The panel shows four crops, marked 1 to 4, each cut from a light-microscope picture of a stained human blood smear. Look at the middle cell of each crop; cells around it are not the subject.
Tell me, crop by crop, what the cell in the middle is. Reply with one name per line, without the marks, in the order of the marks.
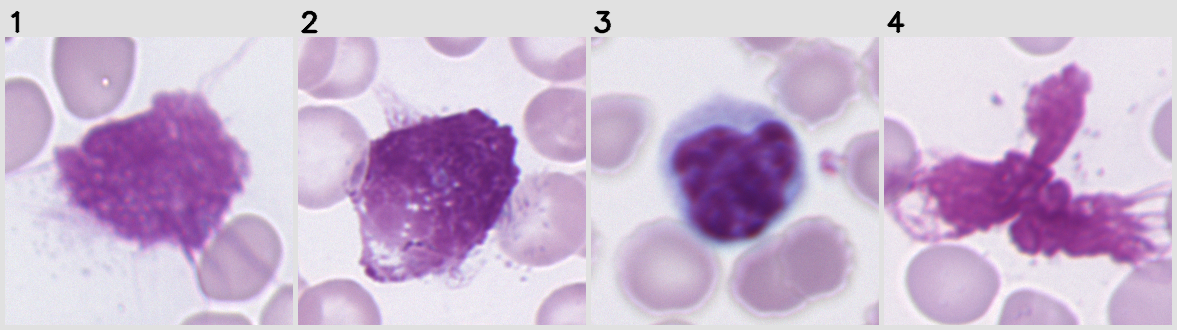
smudge cell
smudge cell
typical lymphocyte
smudge cell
